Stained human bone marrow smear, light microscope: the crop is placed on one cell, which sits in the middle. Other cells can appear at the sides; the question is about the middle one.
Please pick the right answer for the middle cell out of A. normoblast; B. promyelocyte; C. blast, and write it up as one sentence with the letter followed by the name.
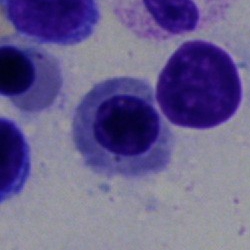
Of the options given, A is correct, the central cell being a normoblast.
